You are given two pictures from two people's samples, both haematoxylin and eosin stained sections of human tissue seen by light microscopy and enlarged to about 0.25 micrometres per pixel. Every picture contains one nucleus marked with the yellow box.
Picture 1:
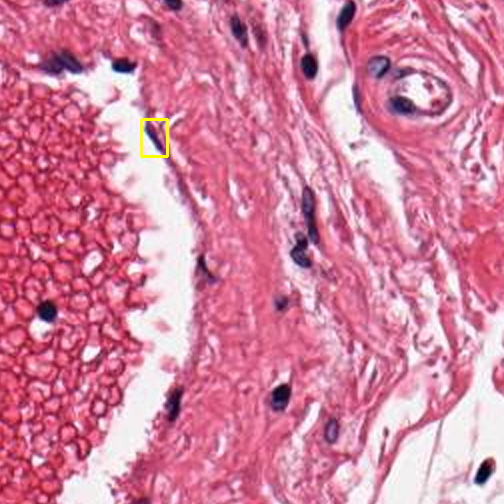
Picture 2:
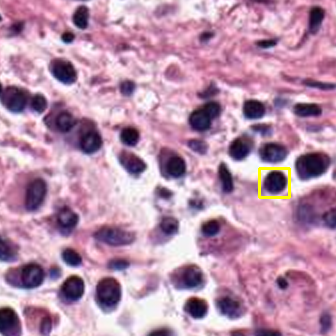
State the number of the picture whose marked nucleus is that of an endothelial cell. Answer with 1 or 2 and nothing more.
1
